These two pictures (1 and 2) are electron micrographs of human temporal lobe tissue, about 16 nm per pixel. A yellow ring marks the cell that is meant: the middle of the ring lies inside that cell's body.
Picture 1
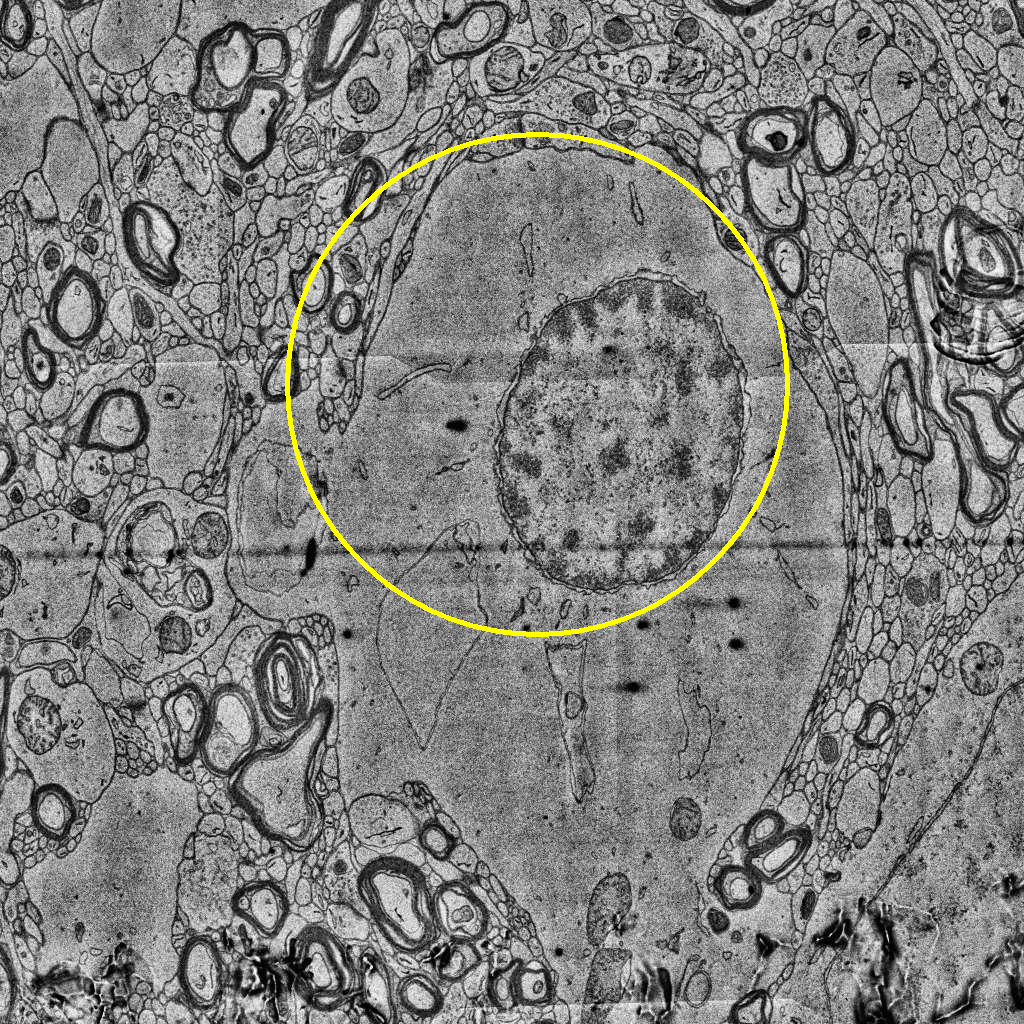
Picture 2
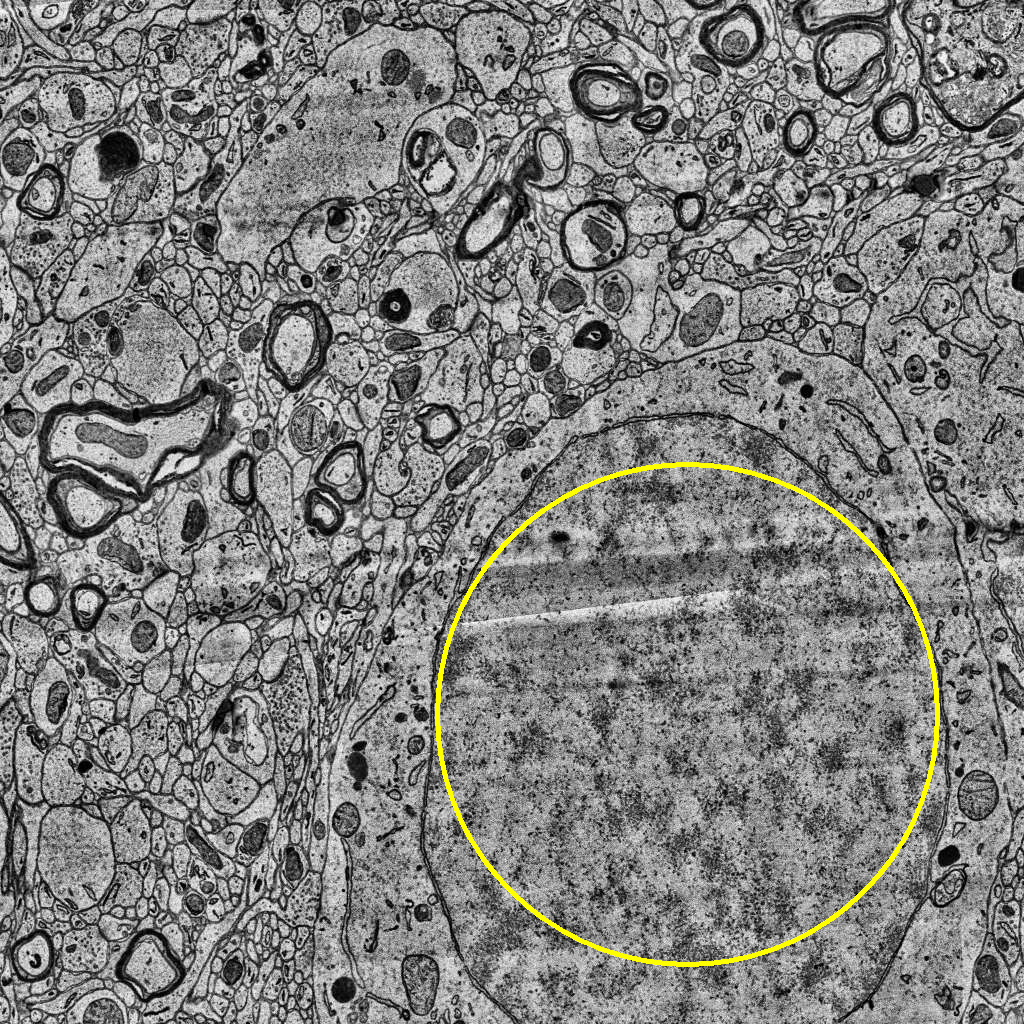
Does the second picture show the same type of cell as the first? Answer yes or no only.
no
